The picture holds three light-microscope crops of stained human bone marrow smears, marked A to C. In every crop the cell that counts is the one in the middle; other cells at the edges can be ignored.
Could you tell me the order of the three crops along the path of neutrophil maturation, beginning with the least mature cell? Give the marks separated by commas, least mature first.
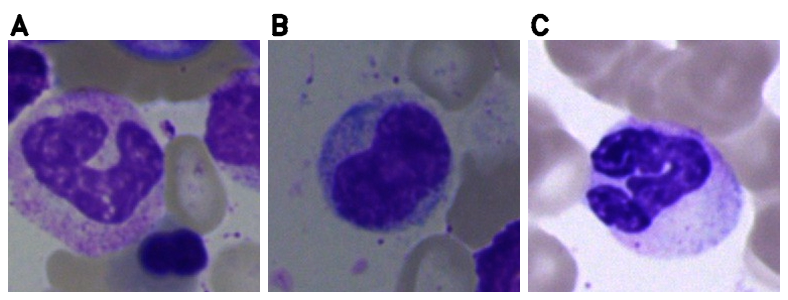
B, A, C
